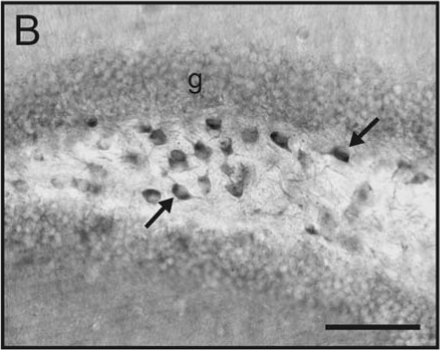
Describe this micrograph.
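This is the dentate gyrus. A broad band of small, densely packed granule cells runs across the top, with a second band along the bottom, both faintly stained grey. In the paler zone between them lies the polymorphic layer, where scattered larger neurons with dark, rounded to triangular cell bodies stand out clearly, some showing thin processes.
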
